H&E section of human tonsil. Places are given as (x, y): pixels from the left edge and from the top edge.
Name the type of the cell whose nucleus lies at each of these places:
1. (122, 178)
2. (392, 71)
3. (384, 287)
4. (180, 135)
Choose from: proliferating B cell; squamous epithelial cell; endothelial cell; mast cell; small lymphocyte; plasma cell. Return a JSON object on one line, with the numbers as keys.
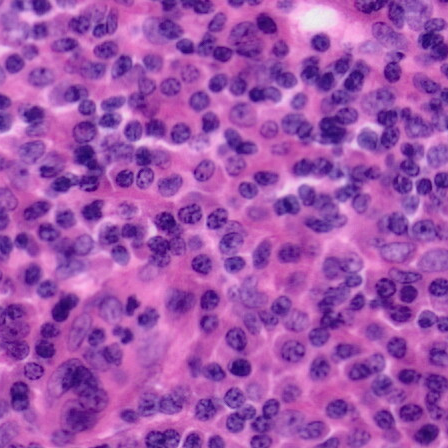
{"1": "plasma cell", "2": "endothelial cell", "3": "plasma cell", "4": "plasma cell"}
